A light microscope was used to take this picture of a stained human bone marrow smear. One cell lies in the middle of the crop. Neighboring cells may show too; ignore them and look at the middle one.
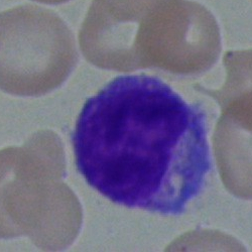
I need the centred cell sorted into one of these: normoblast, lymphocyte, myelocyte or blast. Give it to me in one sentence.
The cell occupying the middle of the crop is a blast.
